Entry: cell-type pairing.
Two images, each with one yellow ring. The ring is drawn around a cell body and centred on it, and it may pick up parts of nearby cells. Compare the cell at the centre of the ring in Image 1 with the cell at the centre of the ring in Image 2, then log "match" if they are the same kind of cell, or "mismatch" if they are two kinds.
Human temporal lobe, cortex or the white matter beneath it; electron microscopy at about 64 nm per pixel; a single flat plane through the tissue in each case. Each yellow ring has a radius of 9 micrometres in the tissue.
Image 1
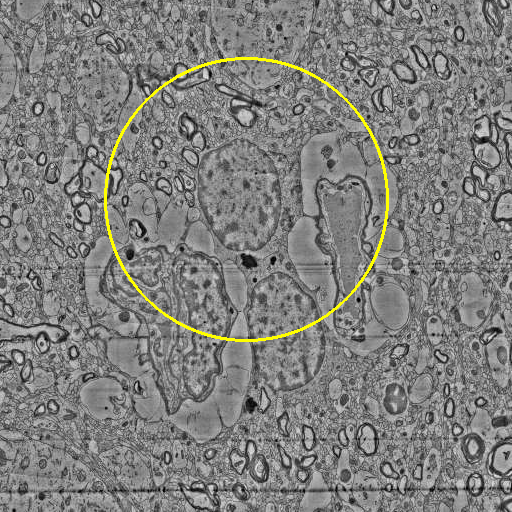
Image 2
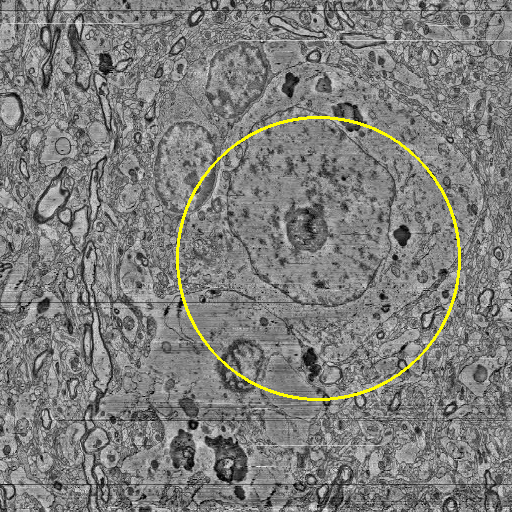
mismatch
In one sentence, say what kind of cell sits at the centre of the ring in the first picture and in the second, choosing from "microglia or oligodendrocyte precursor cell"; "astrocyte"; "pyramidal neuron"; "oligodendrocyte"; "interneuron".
The first picture's ringed cell is an oligodendrocyte, while the second picture's is a pyramidal neuron.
